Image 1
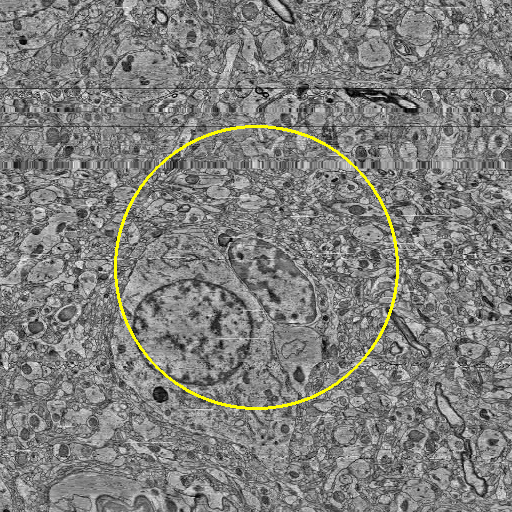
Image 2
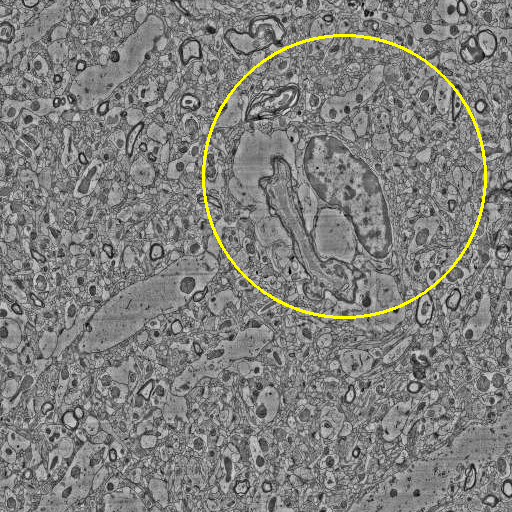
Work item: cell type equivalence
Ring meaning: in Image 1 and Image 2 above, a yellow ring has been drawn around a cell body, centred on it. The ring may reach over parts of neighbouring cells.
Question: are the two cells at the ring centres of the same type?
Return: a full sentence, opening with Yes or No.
Yes, the two centred cells are of the same type.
